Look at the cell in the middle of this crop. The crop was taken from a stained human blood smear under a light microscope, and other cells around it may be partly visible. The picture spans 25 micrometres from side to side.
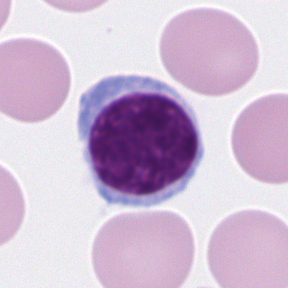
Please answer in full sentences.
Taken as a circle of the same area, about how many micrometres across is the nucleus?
The diameter of the nucleus comes to about 9 micrometres.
